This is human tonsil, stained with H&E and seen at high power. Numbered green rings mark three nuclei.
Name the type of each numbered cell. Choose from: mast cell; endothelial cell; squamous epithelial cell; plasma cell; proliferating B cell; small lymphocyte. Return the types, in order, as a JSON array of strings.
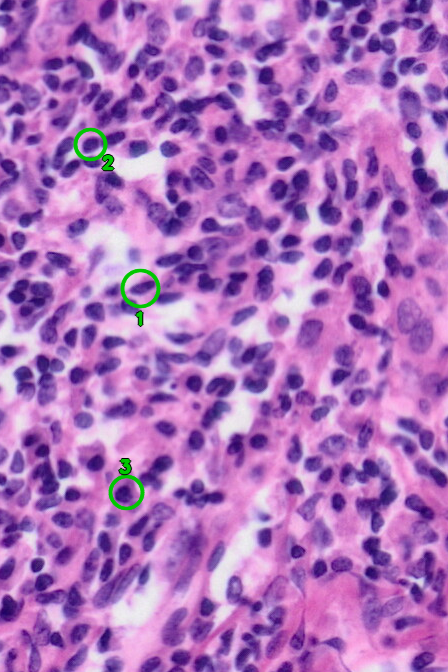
["small lymphocyte", "small lymphocyte", "plasma cell"]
